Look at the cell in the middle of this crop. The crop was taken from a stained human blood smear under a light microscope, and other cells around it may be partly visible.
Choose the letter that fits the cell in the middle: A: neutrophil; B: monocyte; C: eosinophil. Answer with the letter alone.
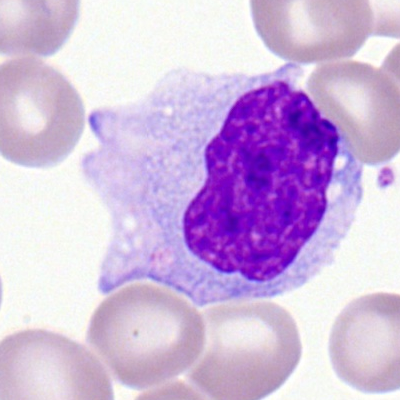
B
